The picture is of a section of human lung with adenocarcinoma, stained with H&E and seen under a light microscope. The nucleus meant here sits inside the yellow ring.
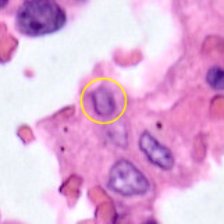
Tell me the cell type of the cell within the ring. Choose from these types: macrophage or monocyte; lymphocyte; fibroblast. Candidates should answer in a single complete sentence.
In cellular terms, the cell within the ring is a macrophage or monocyte.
